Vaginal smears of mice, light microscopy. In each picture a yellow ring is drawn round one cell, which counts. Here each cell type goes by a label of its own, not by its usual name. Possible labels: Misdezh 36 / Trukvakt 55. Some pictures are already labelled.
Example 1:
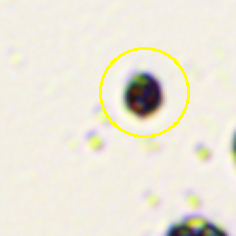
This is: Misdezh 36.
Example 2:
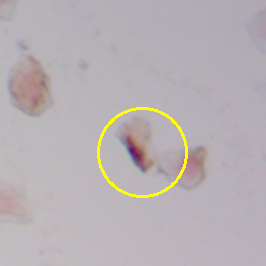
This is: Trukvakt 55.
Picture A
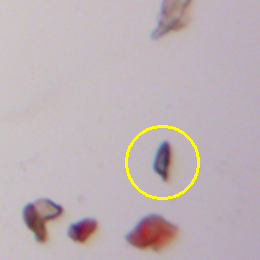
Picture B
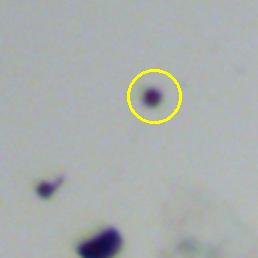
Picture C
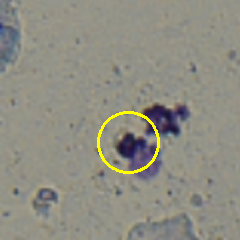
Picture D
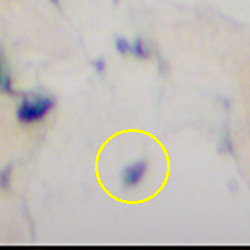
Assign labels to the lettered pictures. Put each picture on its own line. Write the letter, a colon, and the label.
A: Trukvakt 55.
B: Misdezh 36.
C: Misdezh 36.
D: Misdezh 36.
